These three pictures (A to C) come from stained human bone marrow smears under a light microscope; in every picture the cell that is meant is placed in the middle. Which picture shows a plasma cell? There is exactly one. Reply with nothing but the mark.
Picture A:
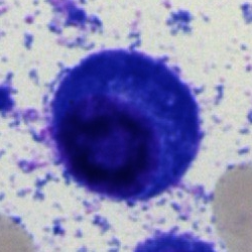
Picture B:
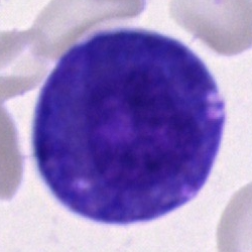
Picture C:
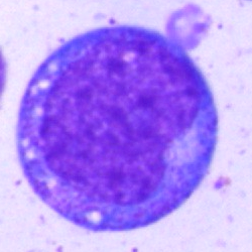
A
